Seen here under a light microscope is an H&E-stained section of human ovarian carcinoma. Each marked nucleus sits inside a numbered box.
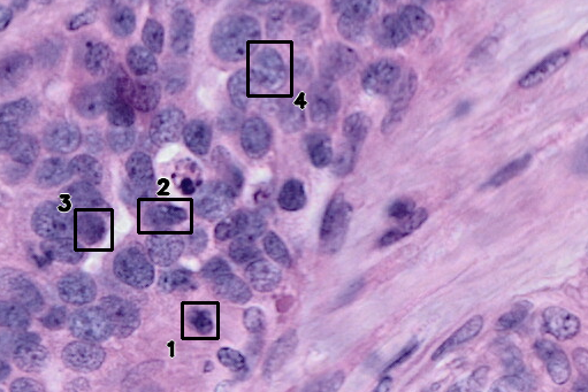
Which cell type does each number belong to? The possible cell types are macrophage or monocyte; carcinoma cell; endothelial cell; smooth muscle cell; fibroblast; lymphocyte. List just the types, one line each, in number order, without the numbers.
lymphocyte
carcinoma cell
carcinoma cell
carcinoma cell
